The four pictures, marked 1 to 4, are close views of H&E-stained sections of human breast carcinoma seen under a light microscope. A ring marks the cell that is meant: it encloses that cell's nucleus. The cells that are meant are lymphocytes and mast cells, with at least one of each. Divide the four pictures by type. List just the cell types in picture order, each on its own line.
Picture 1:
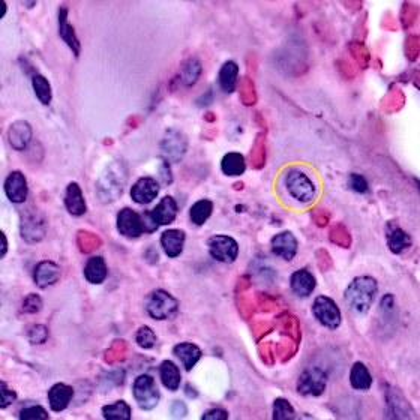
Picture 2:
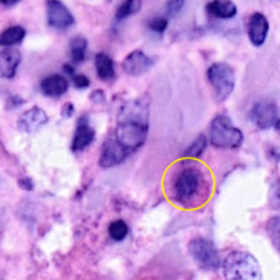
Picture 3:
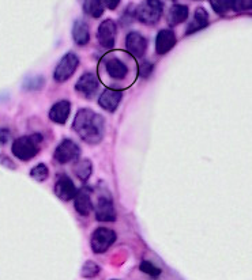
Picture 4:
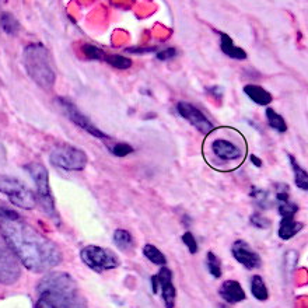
mast cell
mast cell
lymphocyte
mast cell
